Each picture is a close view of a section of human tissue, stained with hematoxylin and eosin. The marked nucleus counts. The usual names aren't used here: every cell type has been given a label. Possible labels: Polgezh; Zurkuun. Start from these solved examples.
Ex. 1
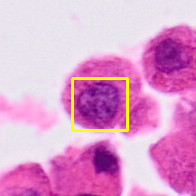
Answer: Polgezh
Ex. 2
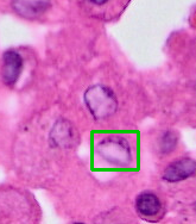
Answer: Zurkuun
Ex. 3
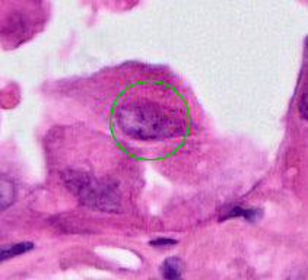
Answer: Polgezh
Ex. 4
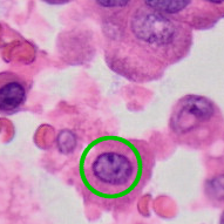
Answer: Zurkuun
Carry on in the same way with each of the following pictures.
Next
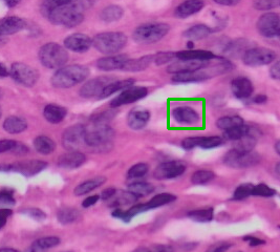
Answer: Zurkuun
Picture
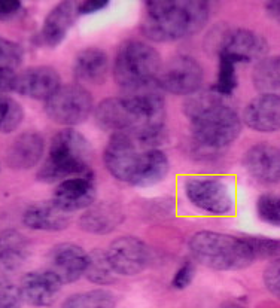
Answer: Zurkuun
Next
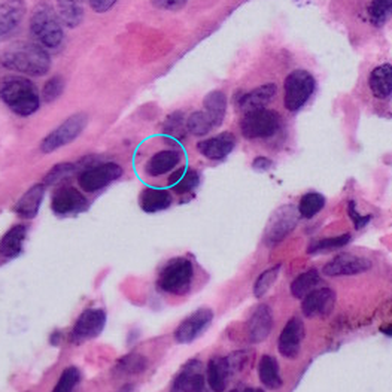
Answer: Polgezh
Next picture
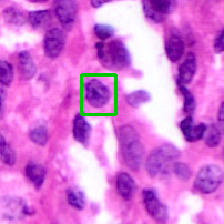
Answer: Zurkuun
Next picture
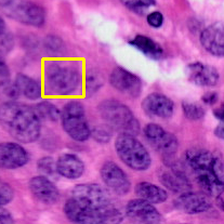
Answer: Polgezh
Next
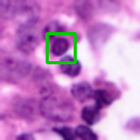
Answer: Polgezh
